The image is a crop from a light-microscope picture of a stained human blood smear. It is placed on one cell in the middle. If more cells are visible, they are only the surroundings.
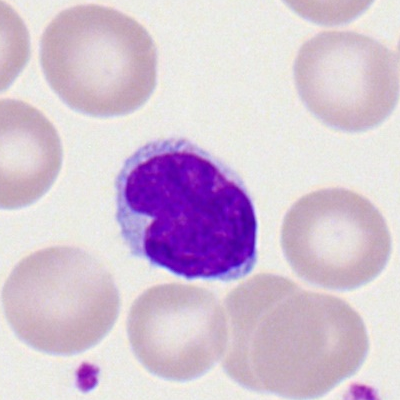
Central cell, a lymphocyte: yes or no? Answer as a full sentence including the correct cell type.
Yes, the central element of the crop is a lymphocyte.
